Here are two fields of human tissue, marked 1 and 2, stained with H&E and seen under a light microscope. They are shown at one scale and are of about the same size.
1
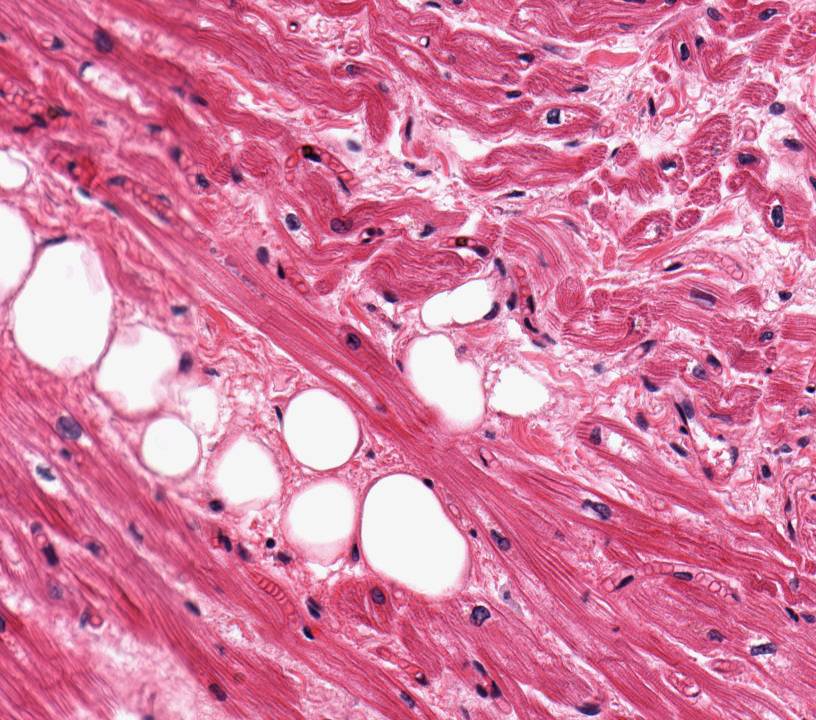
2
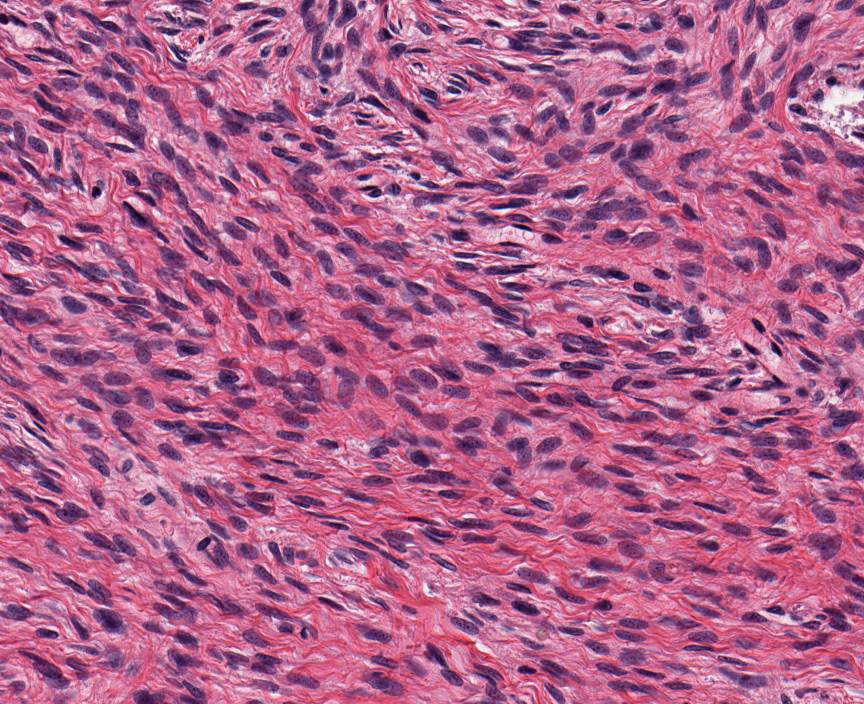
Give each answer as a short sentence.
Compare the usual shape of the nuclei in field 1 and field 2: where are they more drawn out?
Longer, more slender nuclei lie in field 2.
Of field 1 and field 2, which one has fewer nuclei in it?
The smaller number of nuclei is in field 1.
